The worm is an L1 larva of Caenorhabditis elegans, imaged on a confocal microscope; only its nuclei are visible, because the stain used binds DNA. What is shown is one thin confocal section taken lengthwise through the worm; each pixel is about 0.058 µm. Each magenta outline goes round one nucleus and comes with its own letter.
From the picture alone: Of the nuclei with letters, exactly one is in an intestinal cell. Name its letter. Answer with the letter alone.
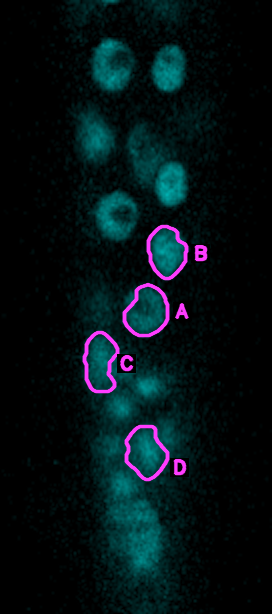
A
